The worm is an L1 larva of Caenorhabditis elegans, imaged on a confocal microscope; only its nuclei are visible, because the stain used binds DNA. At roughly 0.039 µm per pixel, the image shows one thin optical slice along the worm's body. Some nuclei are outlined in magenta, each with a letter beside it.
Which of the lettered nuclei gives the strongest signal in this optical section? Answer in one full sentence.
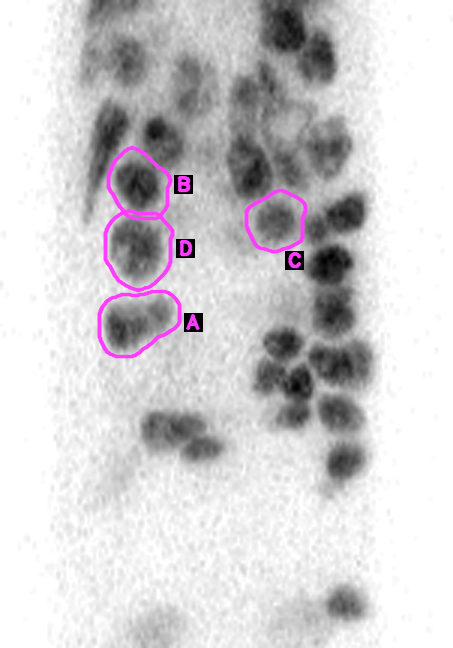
B is stained most strongly in this section.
